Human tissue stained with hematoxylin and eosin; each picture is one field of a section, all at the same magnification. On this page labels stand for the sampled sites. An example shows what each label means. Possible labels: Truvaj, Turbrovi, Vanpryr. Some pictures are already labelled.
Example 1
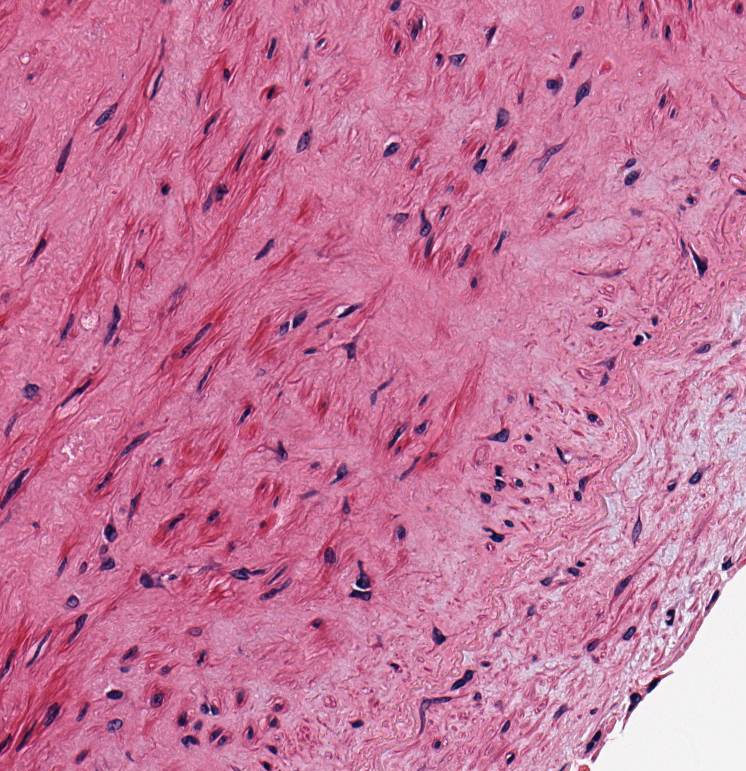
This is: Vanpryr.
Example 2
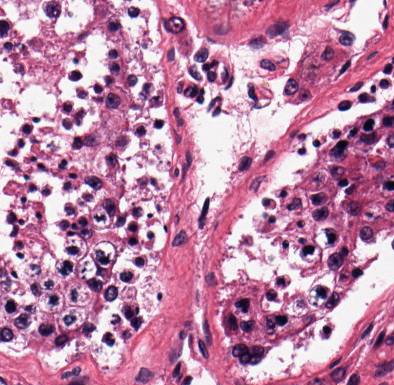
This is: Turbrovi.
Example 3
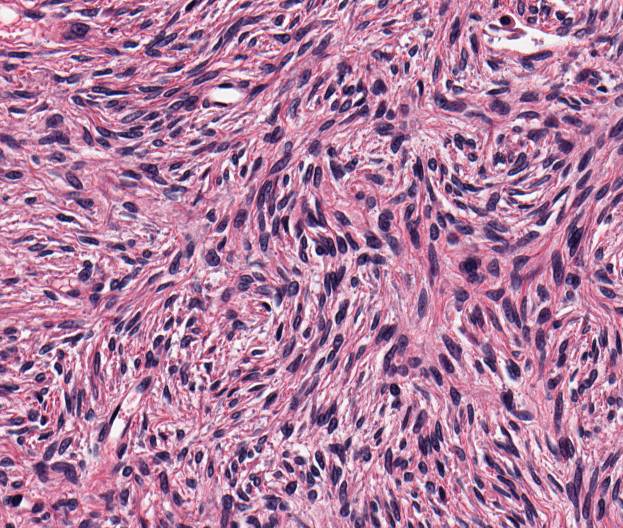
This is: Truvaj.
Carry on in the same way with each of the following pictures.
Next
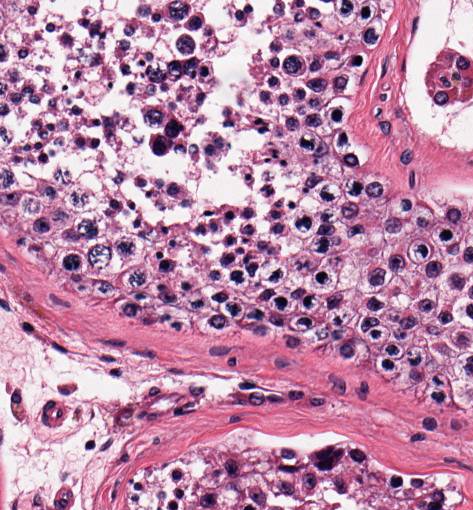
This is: Turbrovi.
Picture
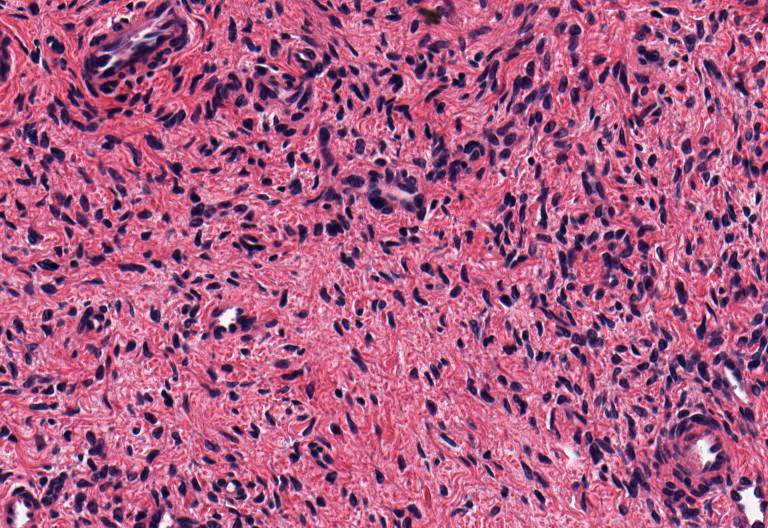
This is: Truvaj.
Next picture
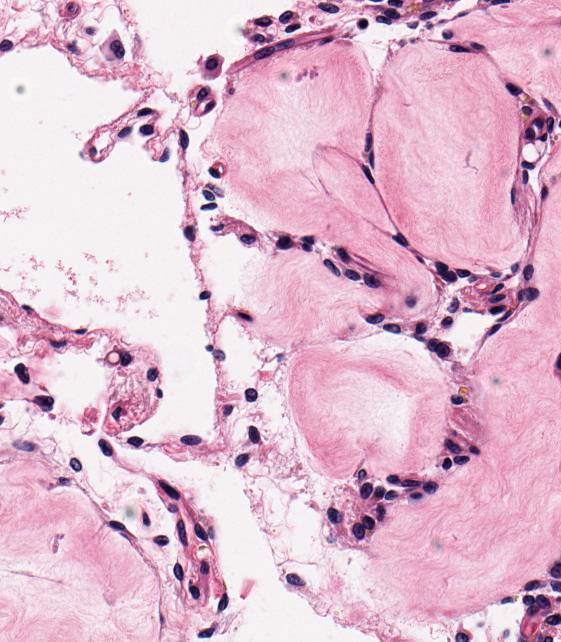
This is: Turbrovi.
